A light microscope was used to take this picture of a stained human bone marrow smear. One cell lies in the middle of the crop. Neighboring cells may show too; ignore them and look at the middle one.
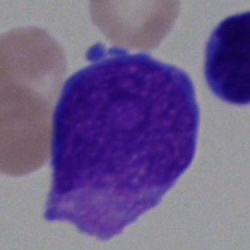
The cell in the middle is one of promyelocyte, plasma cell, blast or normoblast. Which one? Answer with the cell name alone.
blast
